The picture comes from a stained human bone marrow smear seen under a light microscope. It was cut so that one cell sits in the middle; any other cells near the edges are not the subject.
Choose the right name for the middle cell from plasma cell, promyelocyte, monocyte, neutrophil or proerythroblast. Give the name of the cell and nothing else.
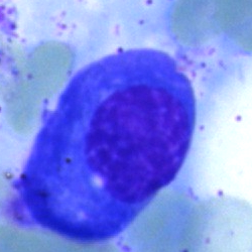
plasma cell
